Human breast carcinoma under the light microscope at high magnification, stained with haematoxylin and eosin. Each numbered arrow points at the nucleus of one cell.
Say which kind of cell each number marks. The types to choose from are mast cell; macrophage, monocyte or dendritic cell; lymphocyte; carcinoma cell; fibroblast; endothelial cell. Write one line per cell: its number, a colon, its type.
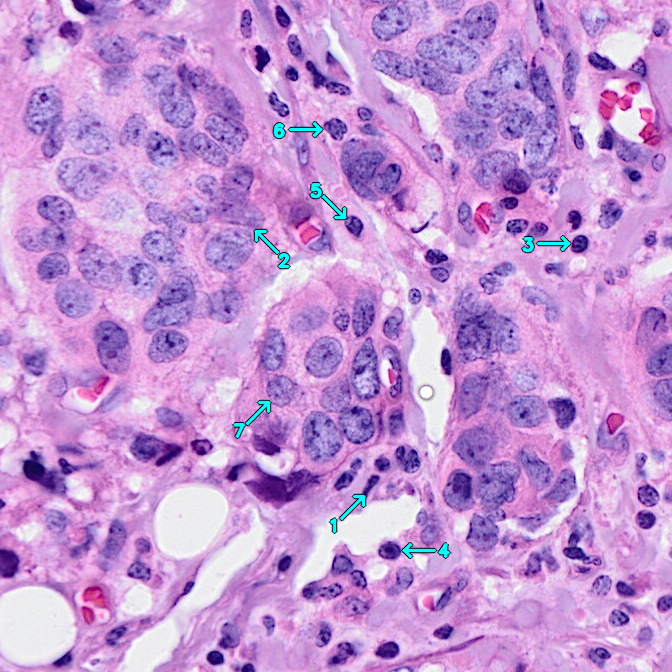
1: lymphocyte
2: carcinoma cell
3: lymphocyte
4: lymphocyte
5: mast cell
6: lymphocyte
7: carcinoma cell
